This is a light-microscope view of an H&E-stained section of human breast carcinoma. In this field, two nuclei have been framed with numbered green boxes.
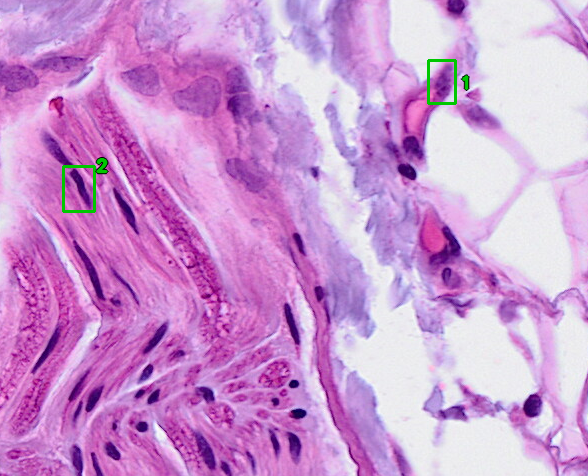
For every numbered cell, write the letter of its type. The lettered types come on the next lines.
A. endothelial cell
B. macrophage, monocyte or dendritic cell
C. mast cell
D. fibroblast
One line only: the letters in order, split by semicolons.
A; D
